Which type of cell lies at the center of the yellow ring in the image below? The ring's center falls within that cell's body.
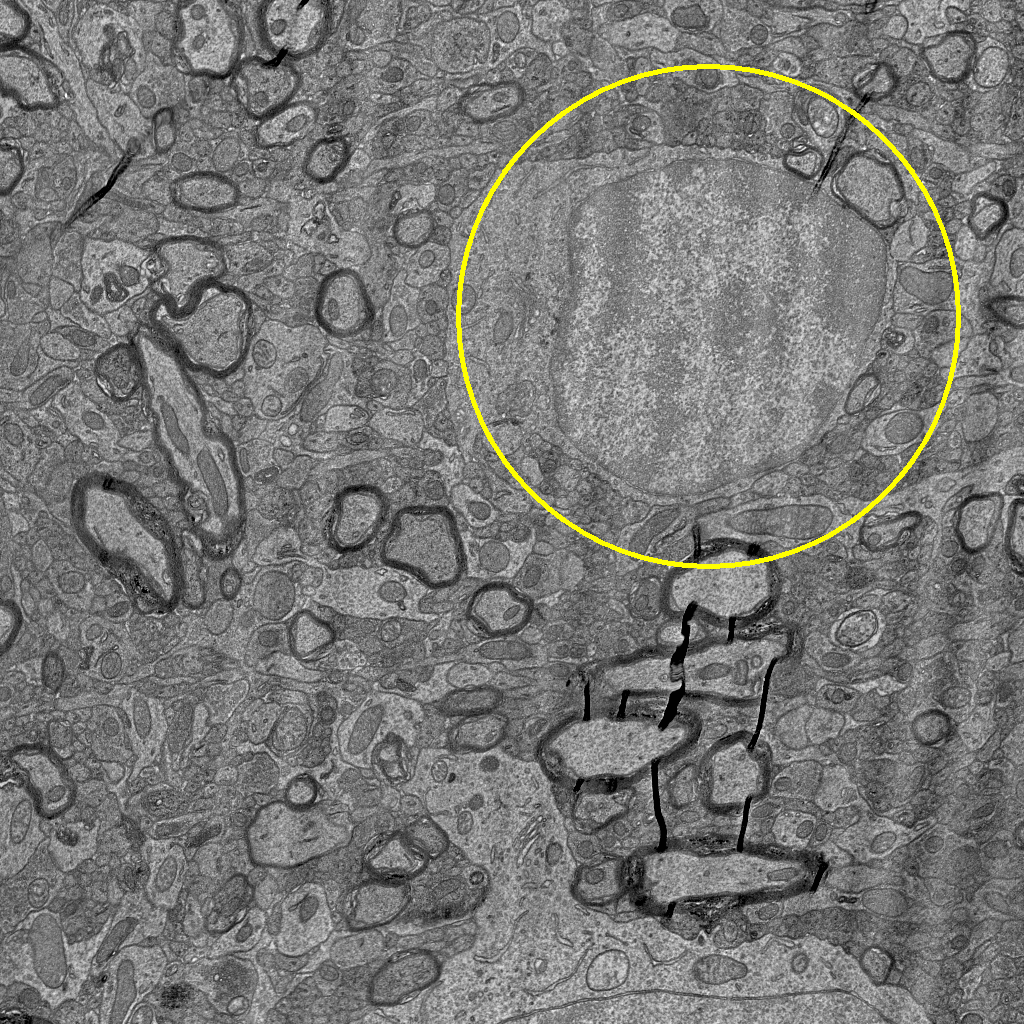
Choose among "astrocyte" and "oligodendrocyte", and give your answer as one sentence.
The cell body at the center belongs to an oligodendrocyte.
